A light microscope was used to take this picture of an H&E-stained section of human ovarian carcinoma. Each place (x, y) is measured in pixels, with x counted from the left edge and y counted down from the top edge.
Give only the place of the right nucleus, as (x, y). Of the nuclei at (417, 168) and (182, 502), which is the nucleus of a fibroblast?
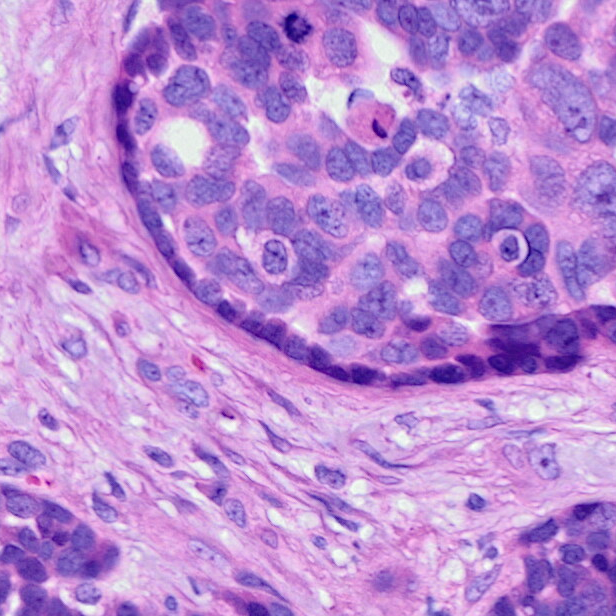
(182, 502)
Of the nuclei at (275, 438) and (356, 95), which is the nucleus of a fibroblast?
(275, 438)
